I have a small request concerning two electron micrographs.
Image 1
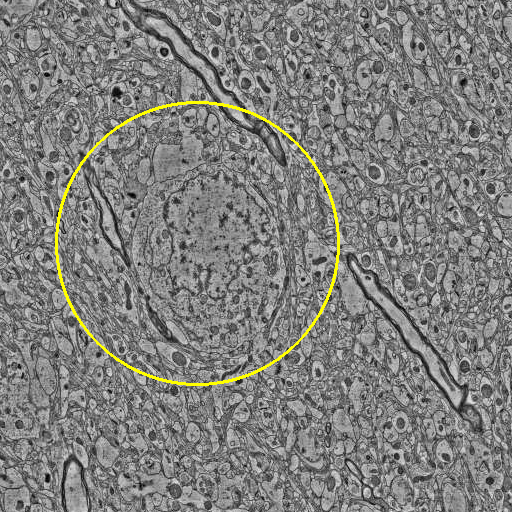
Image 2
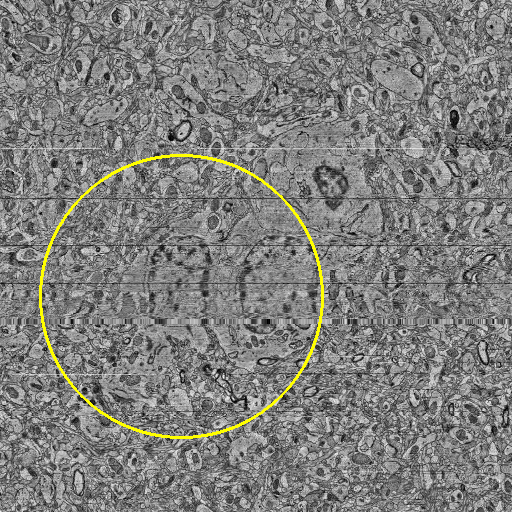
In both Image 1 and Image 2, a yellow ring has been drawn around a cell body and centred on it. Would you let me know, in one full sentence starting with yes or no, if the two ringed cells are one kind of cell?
No, the cells ringed in Image 1 and Image 2 are two kinds of cell.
